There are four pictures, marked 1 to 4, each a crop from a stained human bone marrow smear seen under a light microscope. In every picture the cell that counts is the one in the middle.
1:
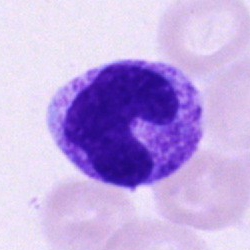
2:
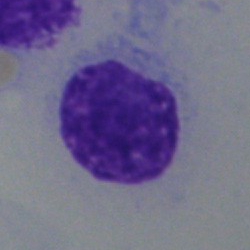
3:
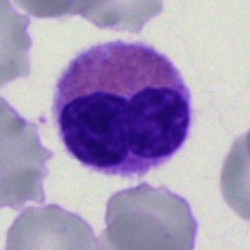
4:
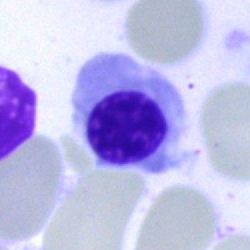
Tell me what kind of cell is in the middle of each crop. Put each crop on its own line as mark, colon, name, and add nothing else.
1: band neutrophil
2: hairy cell
3: eosinophil
4: erythroblast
